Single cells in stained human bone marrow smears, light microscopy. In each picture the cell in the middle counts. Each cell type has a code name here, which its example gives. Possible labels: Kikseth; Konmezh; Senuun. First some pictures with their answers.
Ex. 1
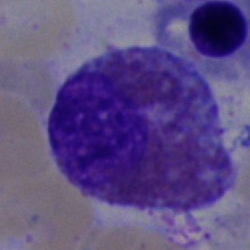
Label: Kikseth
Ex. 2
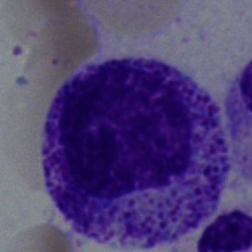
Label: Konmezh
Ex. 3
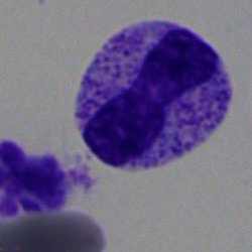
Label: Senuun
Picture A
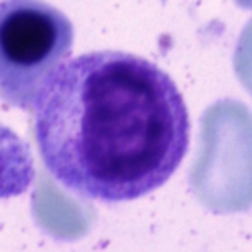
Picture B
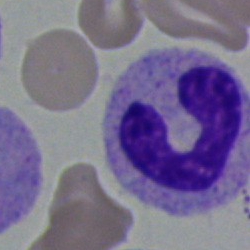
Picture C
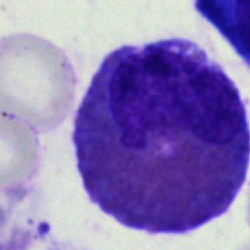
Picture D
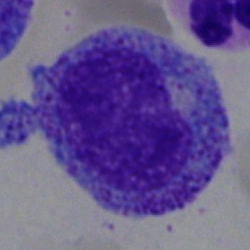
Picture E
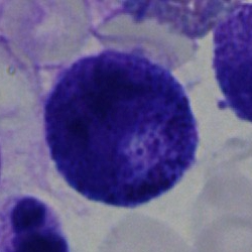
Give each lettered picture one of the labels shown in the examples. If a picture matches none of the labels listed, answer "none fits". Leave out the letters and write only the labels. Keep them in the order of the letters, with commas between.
Konmezh, Senuun, Kikseth, Konmezh, Konmezh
